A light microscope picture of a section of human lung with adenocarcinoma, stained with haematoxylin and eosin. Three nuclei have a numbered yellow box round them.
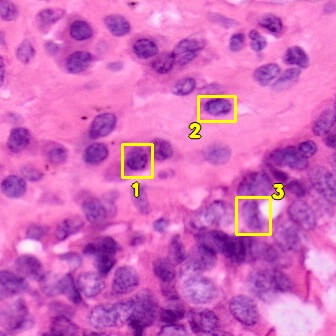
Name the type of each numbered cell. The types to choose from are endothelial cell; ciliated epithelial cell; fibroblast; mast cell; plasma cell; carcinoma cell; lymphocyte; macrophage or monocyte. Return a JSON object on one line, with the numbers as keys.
{"1": "plasma cell", "2": "mast cell", "3": "ciliated epithelial cell"}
